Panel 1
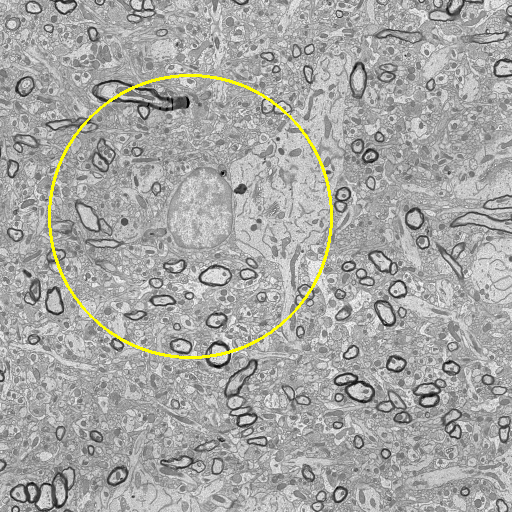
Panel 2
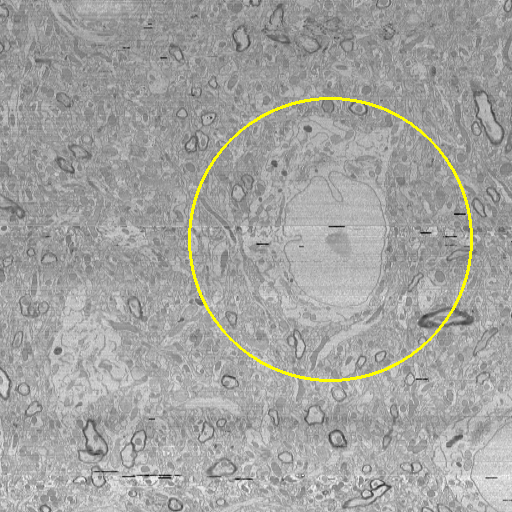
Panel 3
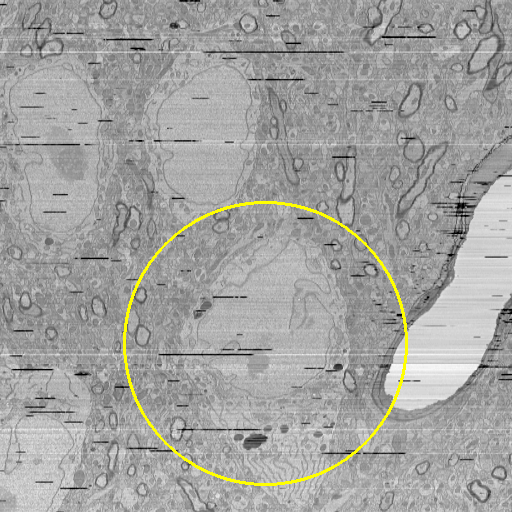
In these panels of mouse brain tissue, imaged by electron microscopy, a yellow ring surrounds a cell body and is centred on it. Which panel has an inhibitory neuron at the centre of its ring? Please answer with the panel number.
3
